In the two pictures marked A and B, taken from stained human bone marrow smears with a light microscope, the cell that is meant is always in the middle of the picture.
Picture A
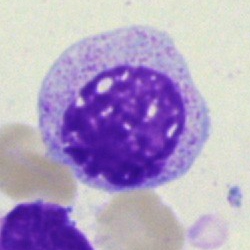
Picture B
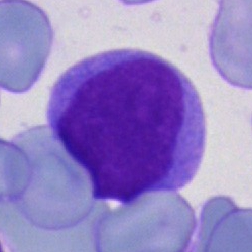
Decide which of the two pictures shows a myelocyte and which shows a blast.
A: myelocyte
B: blast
